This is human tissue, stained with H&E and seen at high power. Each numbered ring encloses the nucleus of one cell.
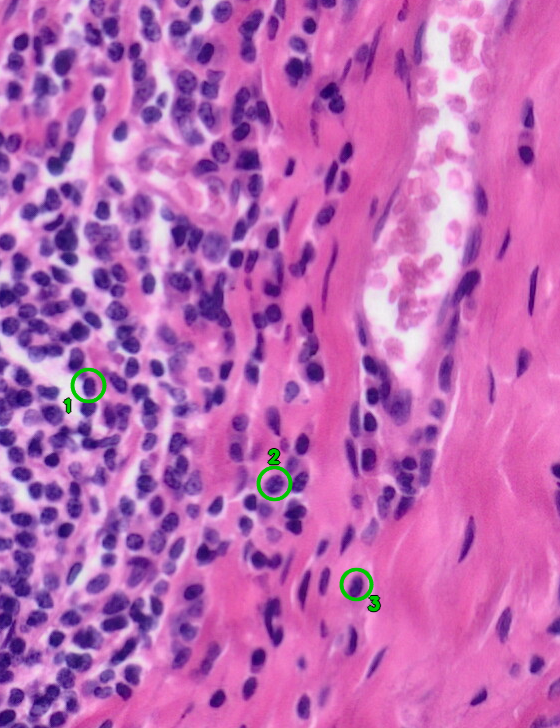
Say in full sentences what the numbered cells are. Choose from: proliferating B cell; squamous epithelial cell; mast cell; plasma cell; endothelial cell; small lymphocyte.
Cell 1 is a small lymphocyte, cell 2 is a plasma cell and cell 3 is a mast cell.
